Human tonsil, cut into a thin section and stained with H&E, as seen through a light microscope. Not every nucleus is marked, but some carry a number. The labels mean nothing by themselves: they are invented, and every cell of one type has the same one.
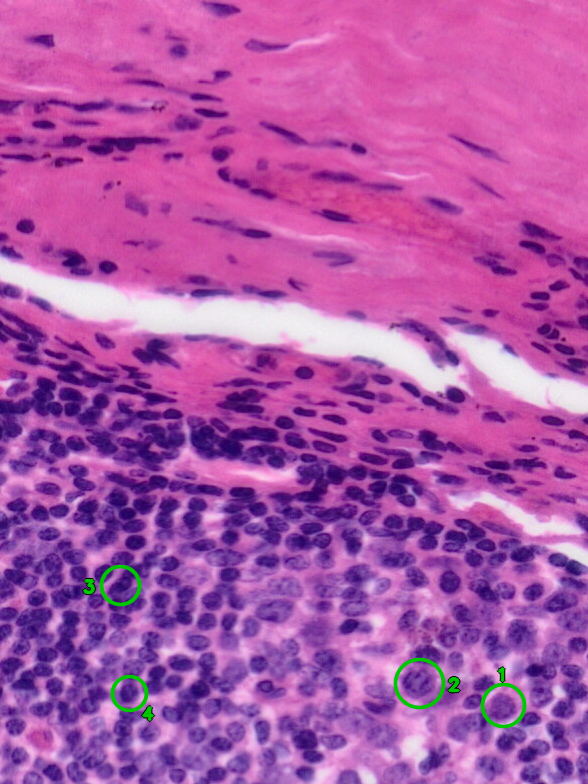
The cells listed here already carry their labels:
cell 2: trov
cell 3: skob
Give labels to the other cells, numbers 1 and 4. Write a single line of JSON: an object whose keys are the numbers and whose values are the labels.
{"1": "trov", "4": "skob"}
